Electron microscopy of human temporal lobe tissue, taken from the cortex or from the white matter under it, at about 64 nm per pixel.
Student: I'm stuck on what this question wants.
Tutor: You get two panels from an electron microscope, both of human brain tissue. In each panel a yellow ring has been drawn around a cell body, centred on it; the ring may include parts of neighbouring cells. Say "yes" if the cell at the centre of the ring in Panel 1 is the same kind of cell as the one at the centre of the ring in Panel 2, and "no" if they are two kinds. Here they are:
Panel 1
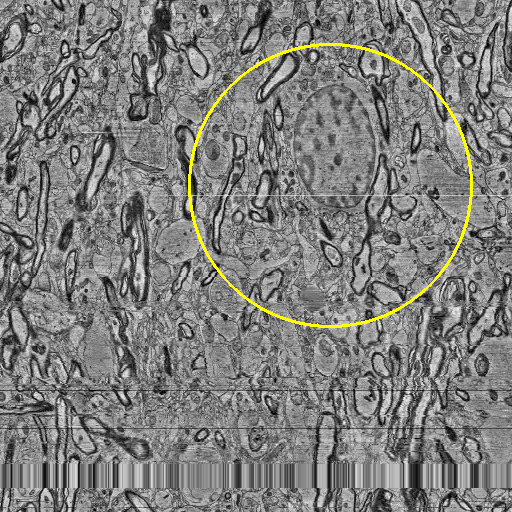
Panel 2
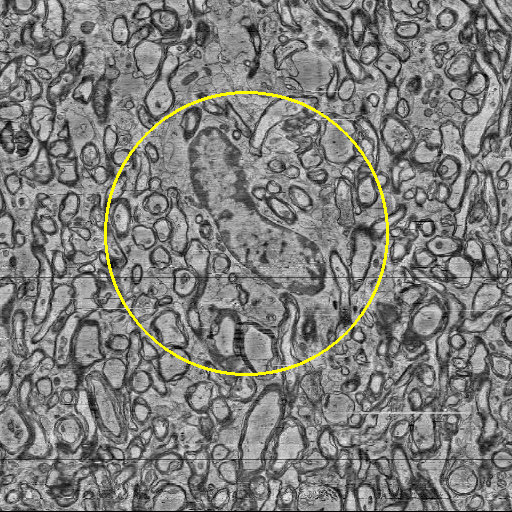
no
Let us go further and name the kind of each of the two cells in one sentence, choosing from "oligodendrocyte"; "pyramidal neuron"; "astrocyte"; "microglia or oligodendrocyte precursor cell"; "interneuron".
The ring of the first picture is on an oligodendrocyte, the ring of the second on a microglial cell or oligodendrocyte precursor cell.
